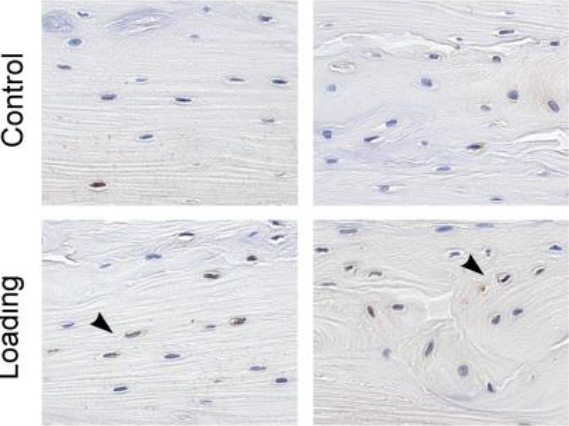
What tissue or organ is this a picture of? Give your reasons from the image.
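Dense pale matrix with parallel lamellar lines. Scattered cells in small lacunae with no marrow between them. On this evidence: cortical bone.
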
